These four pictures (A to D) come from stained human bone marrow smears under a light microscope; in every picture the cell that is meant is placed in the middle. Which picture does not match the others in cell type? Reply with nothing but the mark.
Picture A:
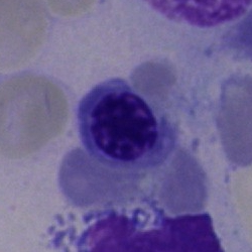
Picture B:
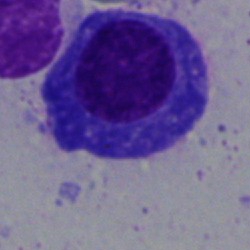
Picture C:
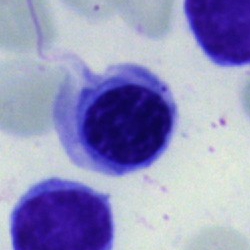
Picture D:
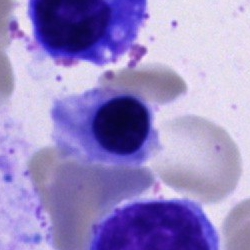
B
